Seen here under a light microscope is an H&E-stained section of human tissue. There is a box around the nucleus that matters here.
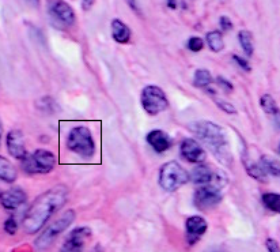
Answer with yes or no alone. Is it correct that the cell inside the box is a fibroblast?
no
